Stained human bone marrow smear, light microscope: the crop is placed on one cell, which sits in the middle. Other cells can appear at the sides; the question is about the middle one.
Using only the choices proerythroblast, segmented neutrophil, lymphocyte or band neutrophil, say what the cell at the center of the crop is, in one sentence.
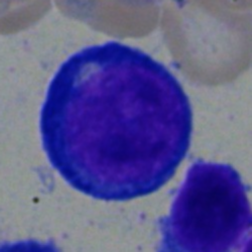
This crop is built around a proerythroblast at its centre.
